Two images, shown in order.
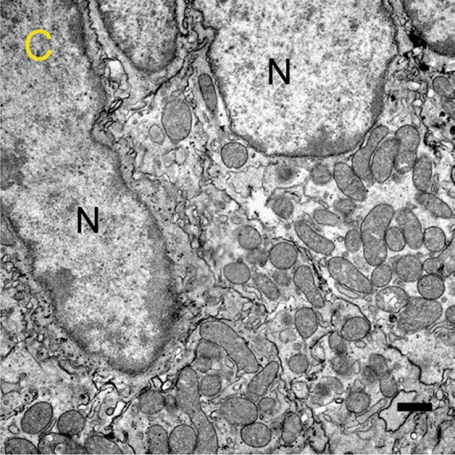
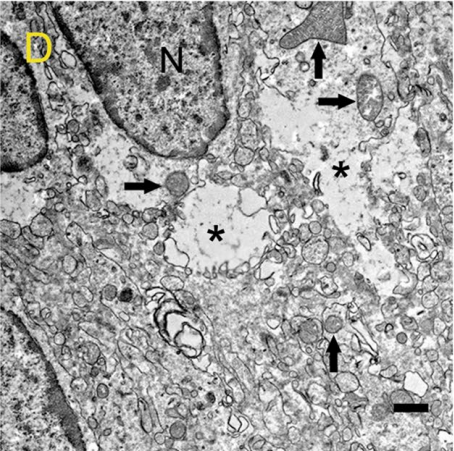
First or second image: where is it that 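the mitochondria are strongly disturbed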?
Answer: The second image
